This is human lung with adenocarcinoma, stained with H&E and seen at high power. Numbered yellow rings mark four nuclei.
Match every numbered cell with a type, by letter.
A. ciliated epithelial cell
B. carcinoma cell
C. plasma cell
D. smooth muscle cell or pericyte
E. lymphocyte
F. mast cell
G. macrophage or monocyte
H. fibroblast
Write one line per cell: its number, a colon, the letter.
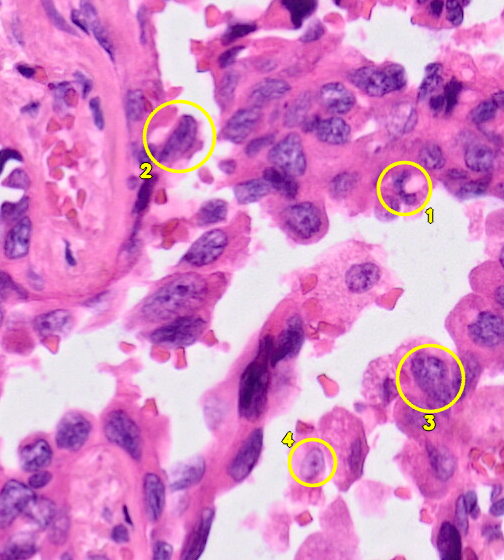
1: B
2: B
3: B
4: G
